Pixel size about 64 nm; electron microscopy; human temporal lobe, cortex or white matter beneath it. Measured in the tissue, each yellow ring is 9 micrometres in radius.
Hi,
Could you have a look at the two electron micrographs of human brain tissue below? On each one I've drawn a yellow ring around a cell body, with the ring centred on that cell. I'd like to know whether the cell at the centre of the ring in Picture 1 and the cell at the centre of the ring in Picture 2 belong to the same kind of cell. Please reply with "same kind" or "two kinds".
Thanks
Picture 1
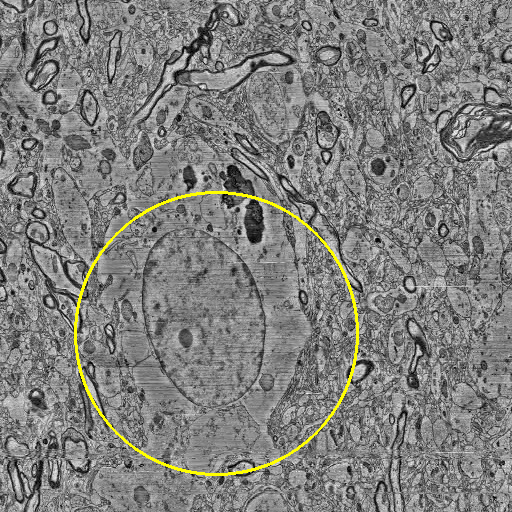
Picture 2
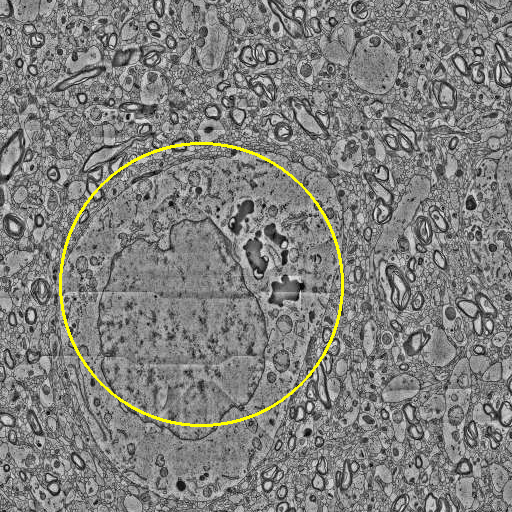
two kinds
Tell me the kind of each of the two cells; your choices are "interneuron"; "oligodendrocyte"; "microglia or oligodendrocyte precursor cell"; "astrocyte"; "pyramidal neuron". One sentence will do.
The ringed cell is an astrocyte in the first picture and a pyramidal neuron in the second picture.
